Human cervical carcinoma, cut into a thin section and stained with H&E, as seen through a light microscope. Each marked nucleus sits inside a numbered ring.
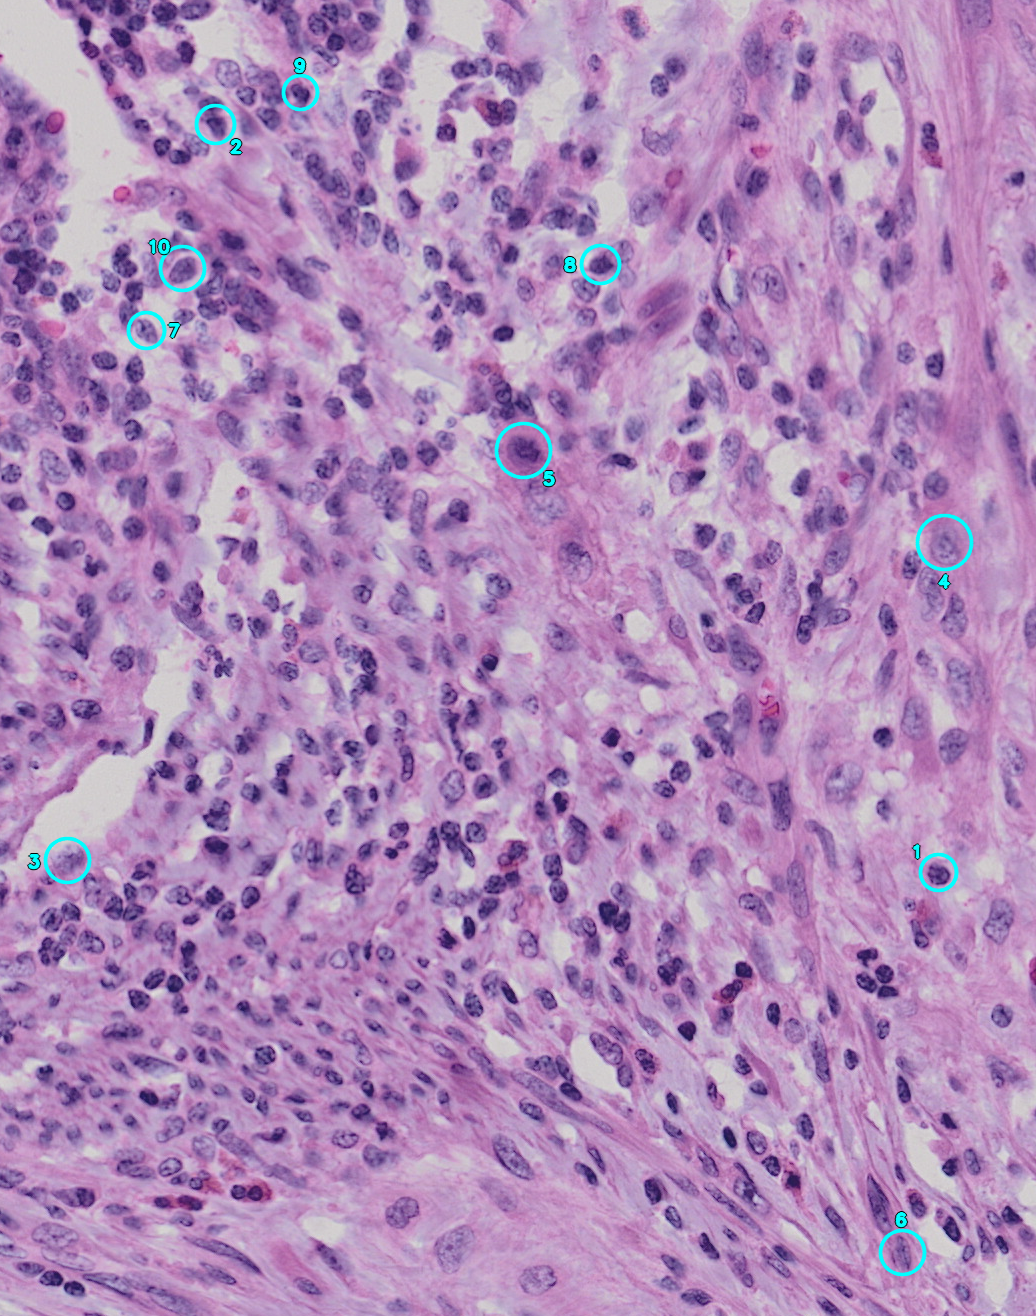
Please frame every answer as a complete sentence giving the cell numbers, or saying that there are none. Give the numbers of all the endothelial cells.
Each of the cells numbered 3, 4 and 6 is among the endothelial cells.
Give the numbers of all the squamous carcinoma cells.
Of the numbered cells, only cell 5 is a squamous carcinoma cell.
